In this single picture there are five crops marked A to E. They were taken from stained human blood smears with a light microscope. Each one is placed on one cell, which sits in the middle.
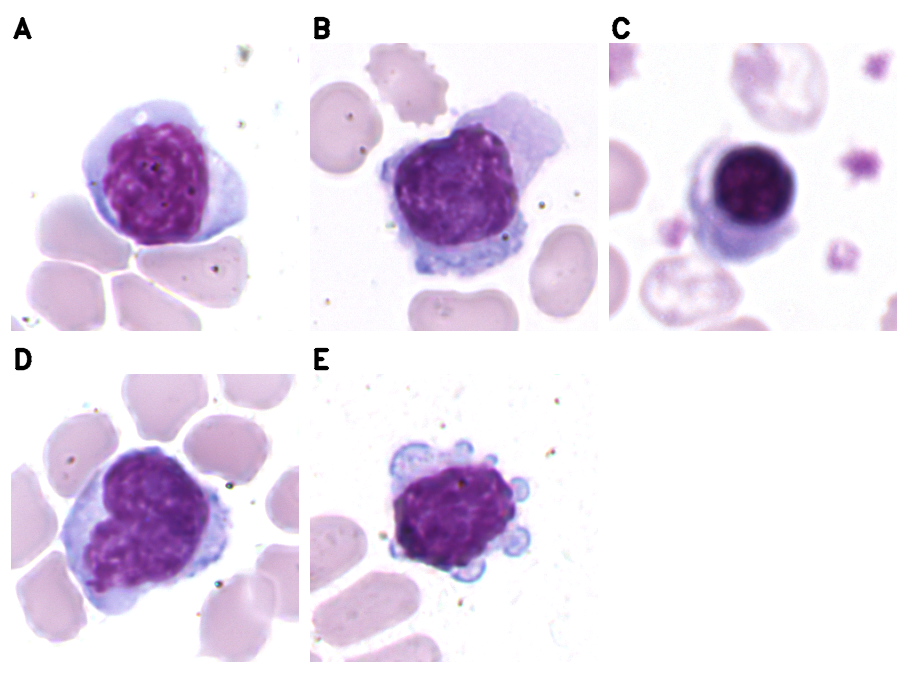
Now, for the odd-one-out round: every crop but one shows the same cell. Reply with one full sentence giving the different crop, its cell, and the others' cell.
Just crop C is a normoblast; all the other crops show plasma cells.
